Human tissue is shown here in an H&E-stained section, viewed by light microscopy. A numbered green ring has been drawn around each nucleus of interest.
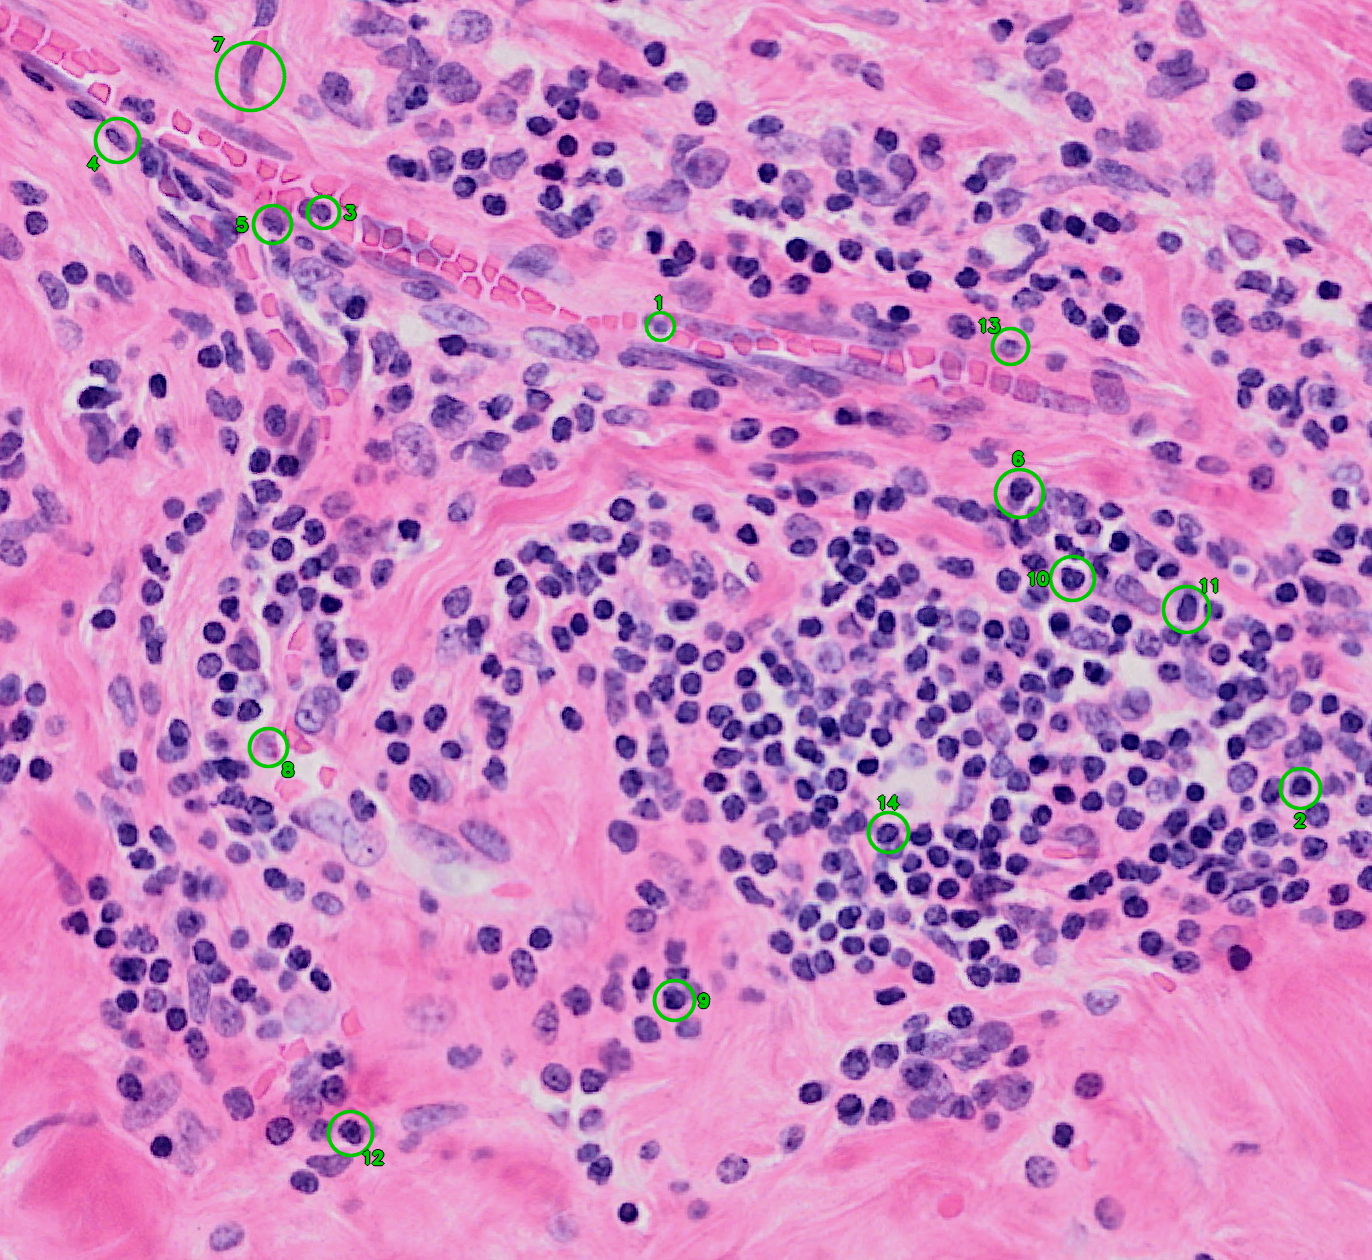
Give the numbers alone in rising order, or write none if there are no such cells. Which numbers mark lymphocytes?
2, 6, 9, 10, 11, 12, 13, 14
